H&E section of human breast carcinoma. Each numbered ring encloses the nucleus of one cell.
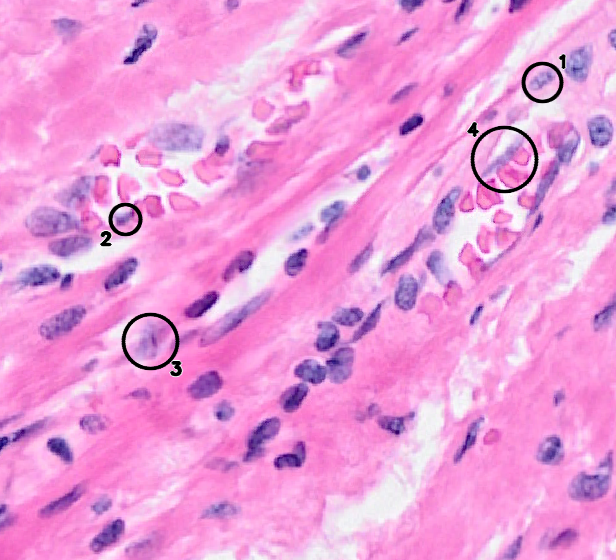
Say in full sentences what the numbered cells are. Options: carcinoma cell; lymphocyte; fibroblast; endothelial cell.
Cells 1, 2 and 4 are endothelial cells. Cell 3 is a fibroblast.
